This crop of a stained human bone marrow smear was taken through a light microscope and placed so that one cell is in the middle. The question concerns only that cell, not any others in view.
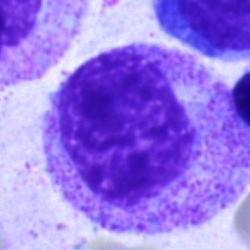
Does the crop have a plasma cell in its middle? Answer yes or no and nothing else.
no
